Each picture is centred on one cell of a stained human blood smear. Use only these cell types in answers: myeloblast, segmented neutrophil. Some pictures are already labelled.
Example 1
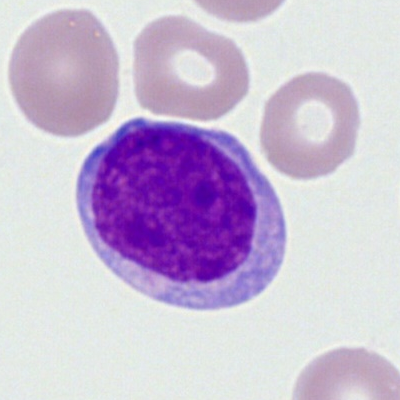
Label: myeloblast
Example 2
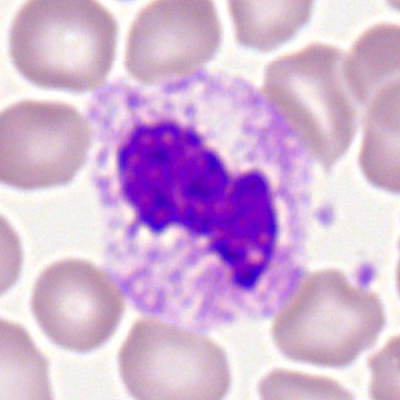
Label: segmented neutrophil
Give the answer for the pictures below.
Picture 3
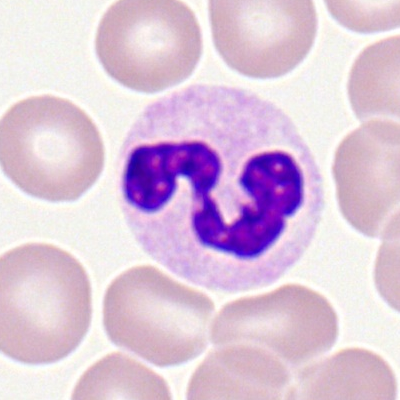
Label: segmented neutrophil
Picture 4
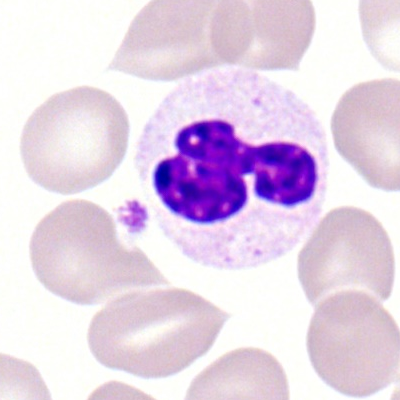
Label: segmented neutrophil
